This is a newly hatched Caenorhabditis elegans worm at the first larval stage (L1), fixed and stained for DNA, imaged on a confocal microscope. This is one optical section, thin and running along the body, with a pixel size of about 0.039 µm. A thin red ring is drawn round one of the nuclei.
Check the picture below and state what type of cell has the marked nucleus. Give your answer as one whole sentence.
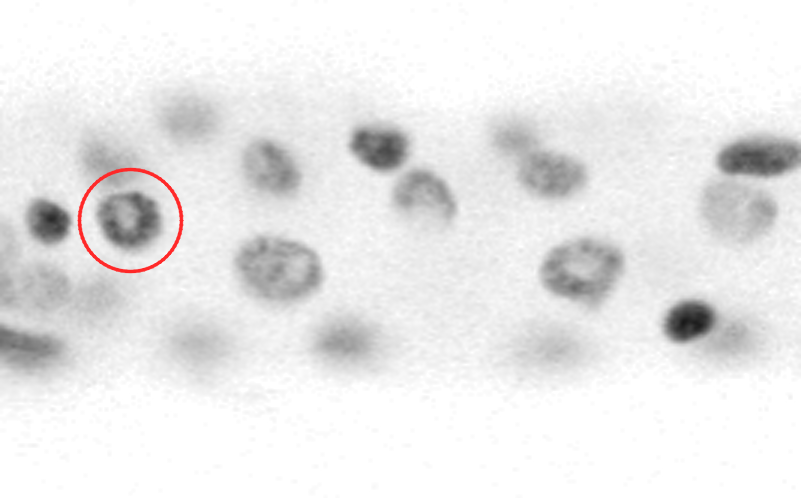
It is the nucleus of a seam cell.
